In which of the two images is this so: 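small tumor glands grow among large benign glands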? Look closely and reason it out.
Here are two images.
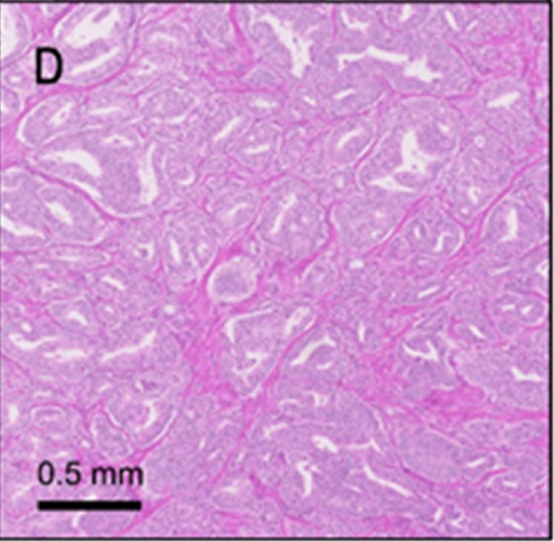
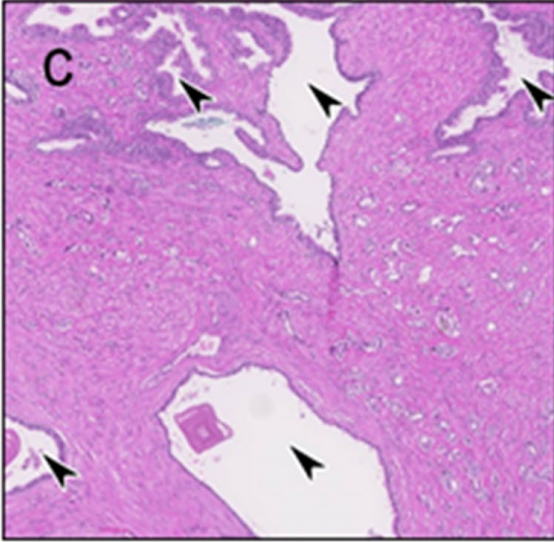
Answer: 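The second image. First image: uniform crowded glands fill the whole field with no large open glands among them. Second image: large dilated glands with infolded lining lie among stroma holding many small glands.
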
